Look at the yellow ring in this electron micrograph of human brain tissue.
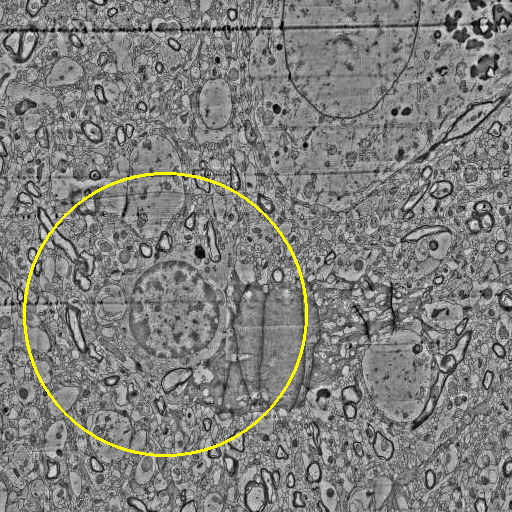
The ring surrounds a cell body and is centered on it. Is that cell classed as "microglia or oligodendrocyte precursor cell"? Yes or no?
No, it is of another kind.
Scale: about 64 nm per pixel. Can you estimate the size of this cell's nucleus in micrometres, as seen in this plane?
The nucleus of the ringed cell is approximately 6 micrometres across in this plane.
